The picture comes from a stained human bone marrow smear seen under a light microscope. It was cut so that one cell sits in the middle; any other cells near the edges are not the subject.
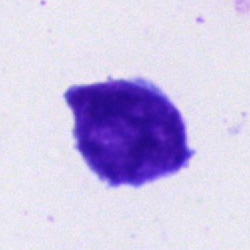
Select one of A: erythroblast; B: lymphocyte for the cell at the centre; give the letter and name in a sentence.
The central cell of the crop is a lymphocyte, which makes B the correct option.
